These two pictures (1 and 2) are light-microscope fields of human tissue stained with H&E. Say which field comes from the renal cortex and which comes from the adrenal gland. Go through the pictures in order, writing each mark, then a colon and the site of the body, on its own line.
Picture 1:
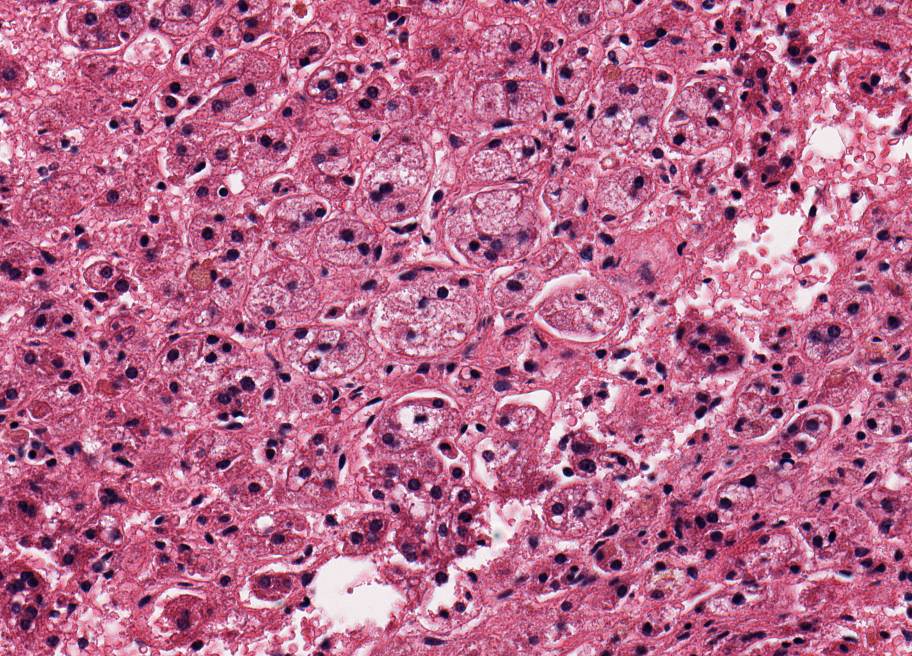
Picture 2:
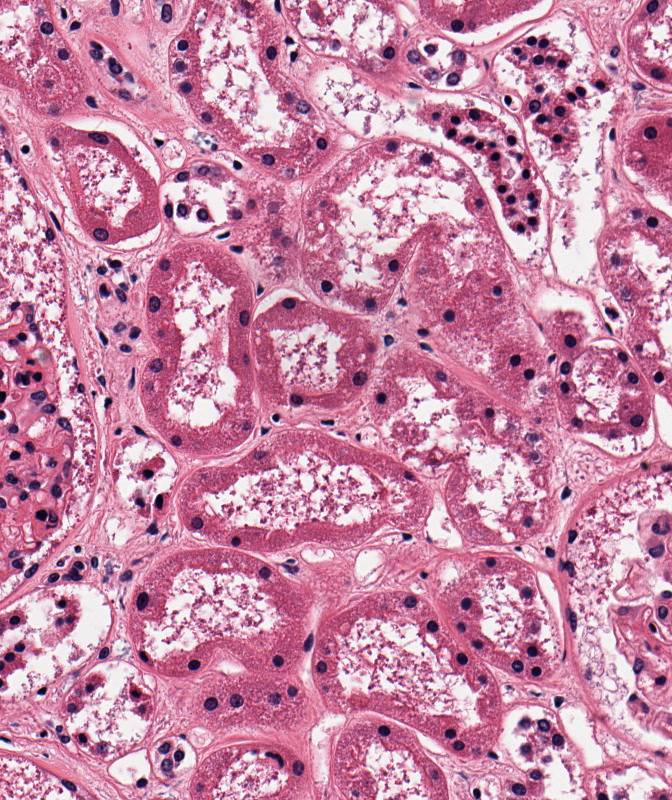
1: adrenal gland
2: renal cortex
